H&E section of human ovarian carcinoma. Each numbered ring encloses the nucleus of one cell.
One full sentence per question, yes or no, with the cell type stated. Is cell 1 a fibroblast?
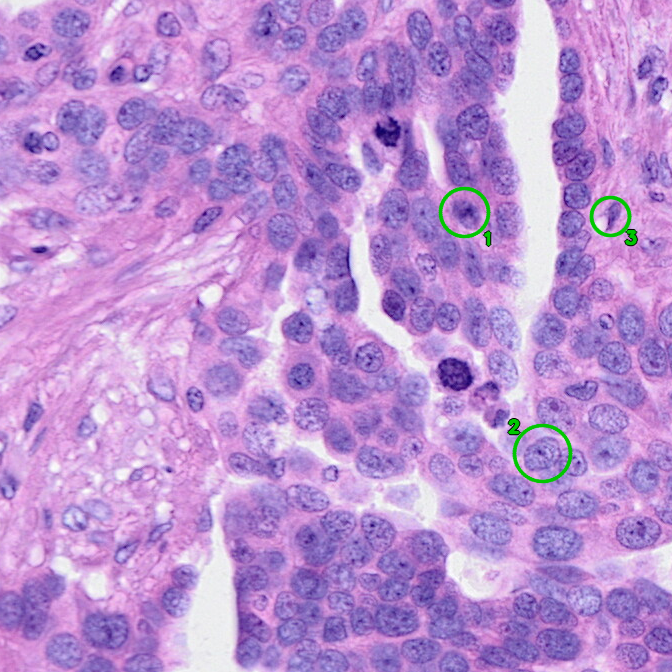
No, the cell marked 1 is a macrophage or monocyte rather than a fibroblast.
